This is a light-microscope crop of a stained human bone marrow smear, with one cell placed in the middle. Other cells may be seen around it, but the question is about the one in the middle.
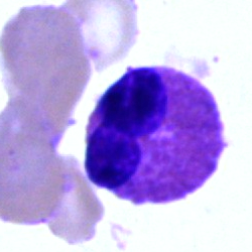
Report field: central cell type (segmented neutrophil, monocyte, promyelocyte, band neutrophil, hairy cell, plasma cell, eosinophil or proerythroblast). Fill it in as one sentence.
On this slide crop, the central cell is an eosinophil.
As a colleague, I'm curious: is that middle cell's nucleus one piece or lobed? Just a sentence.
The nuclear outline breaks up into two or more lobes.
